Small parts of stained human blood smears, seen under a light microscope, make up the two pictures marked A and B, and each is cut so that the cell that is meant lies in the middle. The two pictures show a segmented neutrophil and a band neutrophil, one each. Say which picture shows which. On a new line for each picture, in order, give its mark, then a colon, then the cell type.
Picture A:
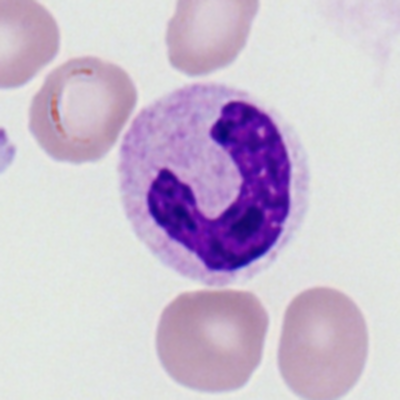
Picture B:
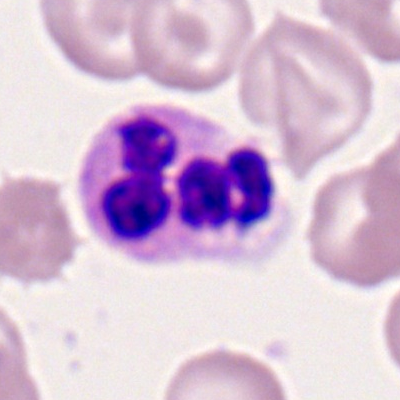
A: band neutrophil
B: segmented neutrophil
